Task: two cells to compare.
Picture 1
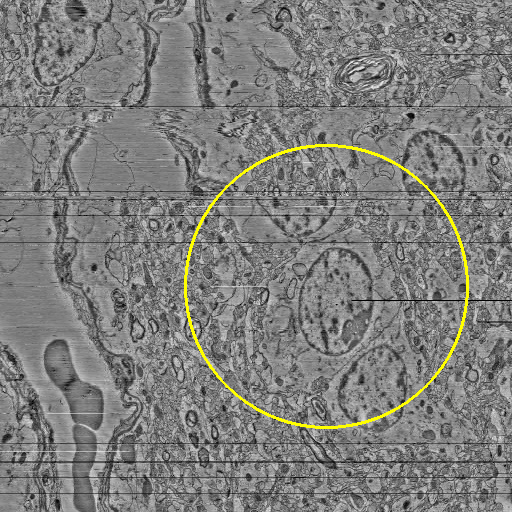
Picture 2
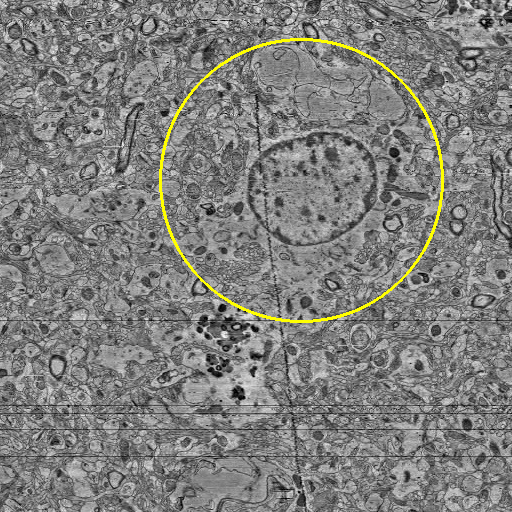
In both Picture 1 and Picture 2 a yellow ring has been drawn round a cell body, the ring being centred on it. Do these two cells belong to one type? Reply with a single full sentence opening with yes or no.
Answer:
Yes, the two cells at the ring centres in Picture 1 and Picture 2 share one type.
